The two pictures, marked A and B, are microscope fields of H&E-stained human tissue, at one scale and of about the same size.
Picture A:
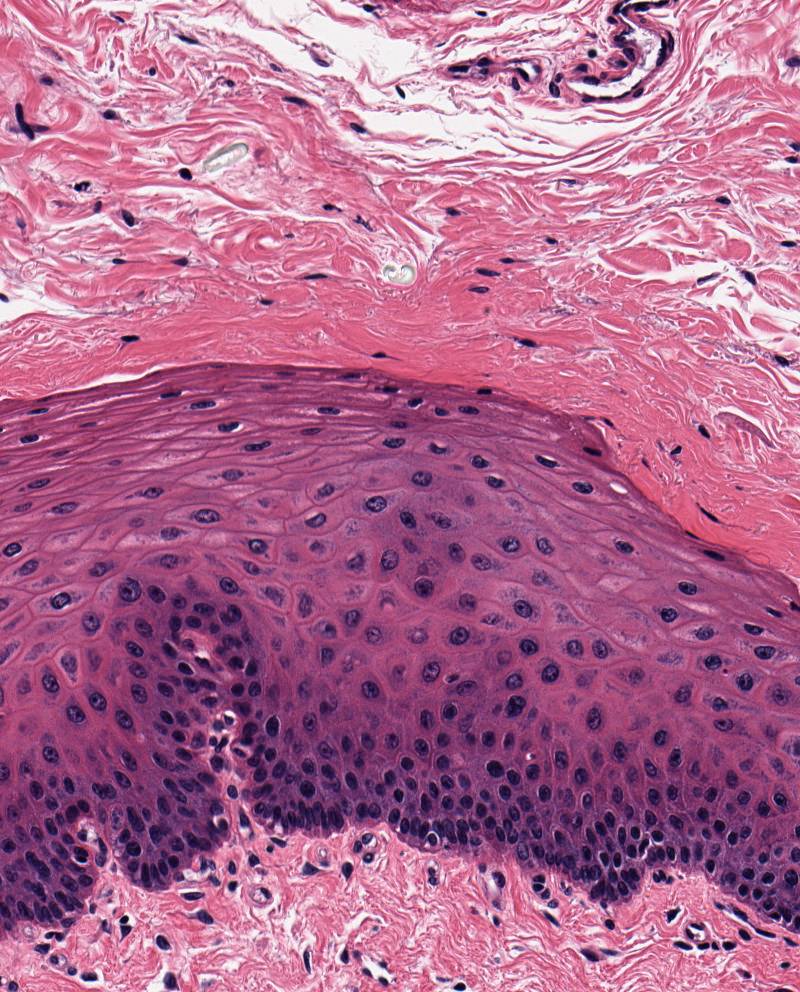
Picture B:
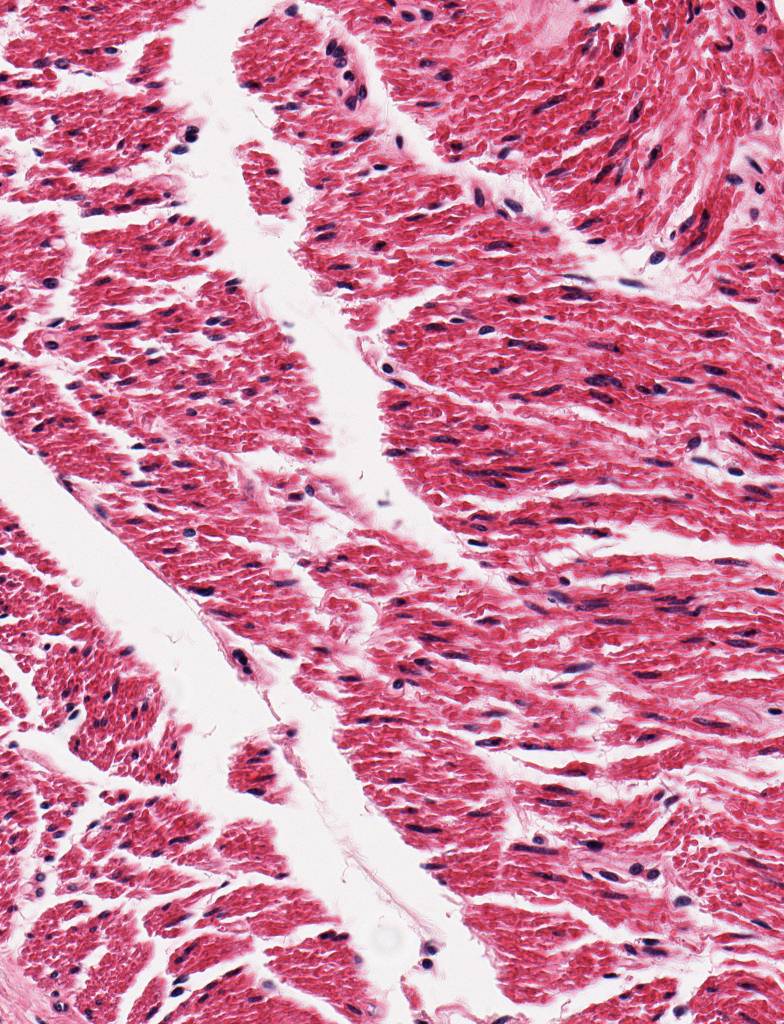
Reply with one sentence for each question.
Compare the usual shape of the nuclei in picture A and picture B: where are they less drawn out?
On the whole the nuclei of picture A are rounder than those of picture B.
